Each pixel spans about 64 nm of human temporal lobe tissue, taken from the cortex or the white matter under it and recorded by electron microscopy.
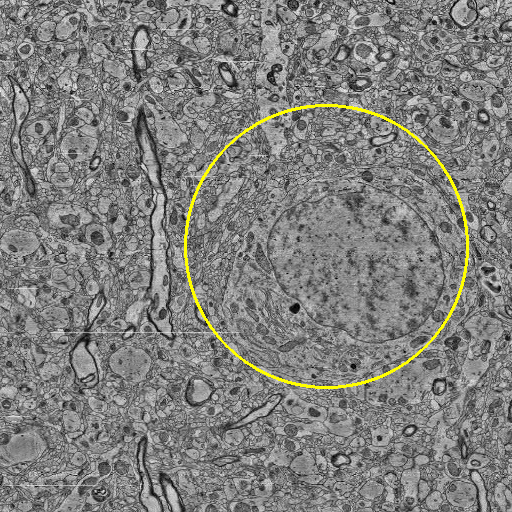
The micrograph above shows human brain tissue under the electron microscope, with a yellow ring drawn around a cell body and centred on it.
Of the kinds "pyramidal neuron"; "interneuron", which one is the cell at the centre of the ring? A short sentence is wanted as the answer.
The one at the centre of the ring is an interneuron.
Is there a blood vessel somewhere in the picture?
No, none shows.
